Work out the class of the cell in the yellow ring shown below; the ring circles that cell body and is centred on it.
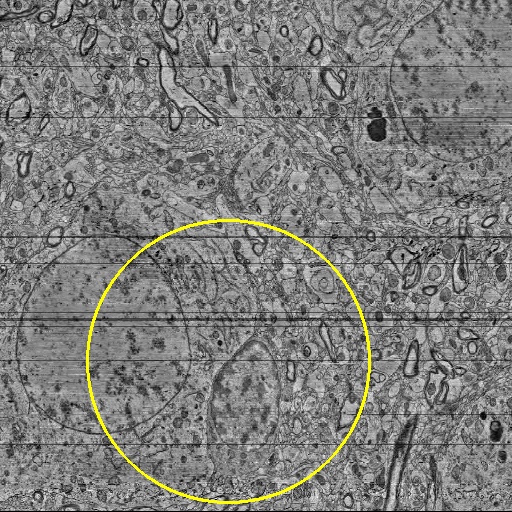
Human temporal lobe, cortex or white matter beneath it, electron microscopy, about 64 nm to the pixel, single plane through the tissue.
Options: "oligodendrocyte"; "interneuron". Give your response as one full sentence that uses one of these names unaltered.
The body ringed in yellow, right at the ring's centre, is that of an oligodendrocyte.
